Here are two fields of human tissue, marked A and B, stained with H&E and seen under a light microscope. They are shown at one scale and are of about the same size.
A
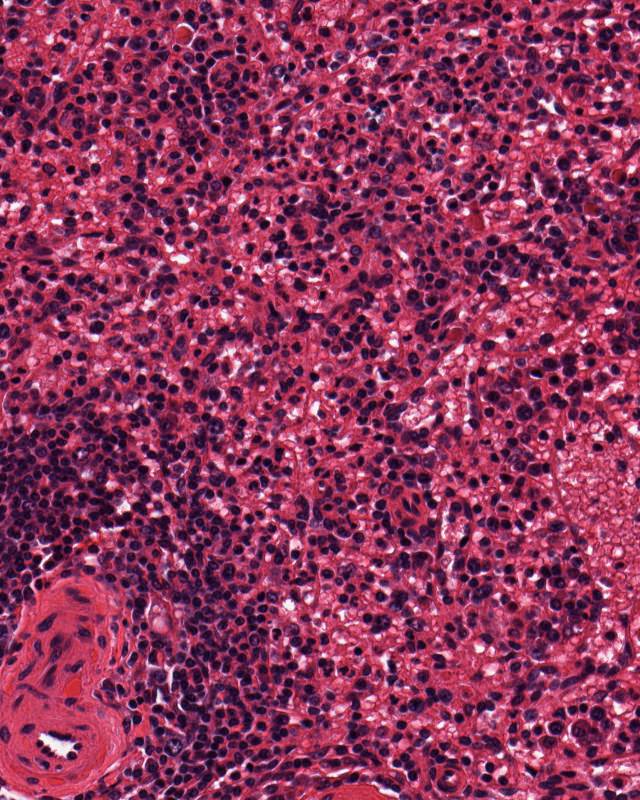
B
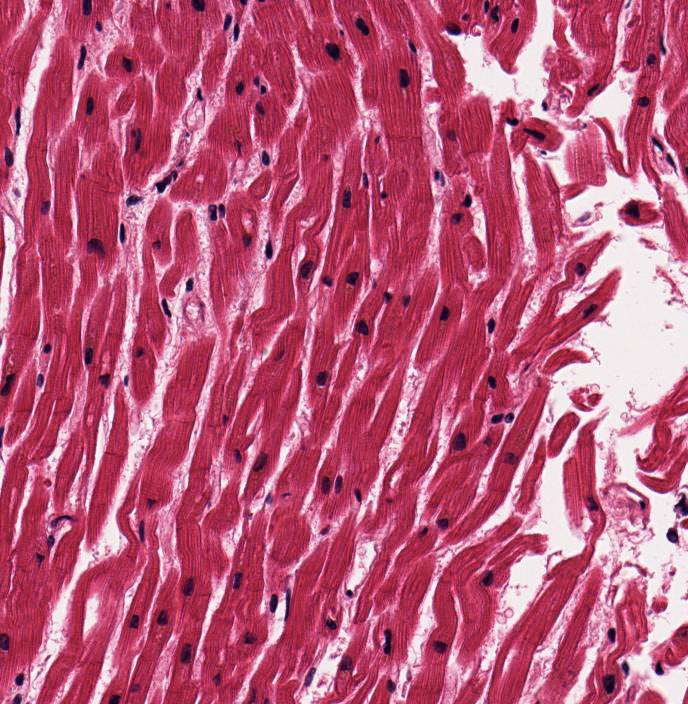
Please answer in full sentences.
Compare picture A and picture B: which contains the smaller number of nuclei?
Picture B holds fewer nuclei than picture A.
